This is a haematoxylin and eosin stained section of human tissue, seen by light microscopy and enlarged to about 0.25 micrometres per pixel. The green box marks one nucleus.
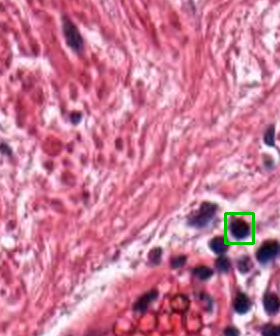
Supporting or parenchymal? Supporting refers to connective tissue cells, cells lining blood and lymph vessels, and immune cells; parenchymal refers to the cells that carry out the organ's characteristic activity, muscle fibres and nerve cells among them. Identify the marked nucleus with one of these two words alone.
supporting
